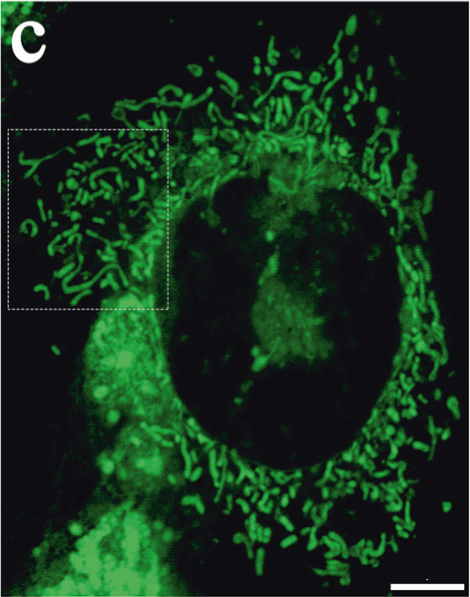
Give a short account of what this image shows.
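A single cell is shown whose cytoplasm is filled with green mitochondria surrounding a large, dark, roughly oval nucleus. The mitochondria are mostly elongated tubules and rods, some curved or branched, packed densely around the nucleus and more loosely spaced toward the cell periphery. A brighter, diffusely green area of a neighbouring cell lies at the lower left.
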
